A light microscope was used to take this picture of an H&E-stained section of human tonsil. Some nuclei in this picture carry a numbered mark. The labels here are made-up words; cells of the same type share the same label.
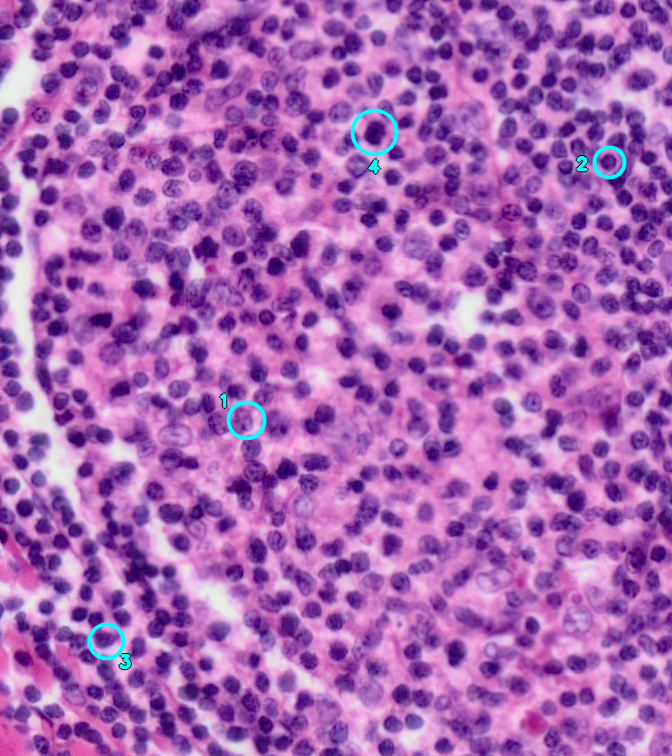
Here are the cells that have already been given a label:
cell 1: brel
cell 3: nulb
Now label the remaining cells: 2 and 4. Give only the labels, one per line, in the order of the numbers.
nulb
brel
